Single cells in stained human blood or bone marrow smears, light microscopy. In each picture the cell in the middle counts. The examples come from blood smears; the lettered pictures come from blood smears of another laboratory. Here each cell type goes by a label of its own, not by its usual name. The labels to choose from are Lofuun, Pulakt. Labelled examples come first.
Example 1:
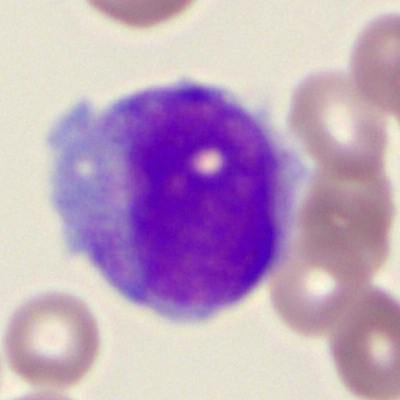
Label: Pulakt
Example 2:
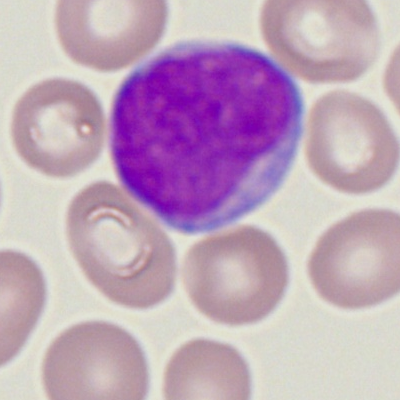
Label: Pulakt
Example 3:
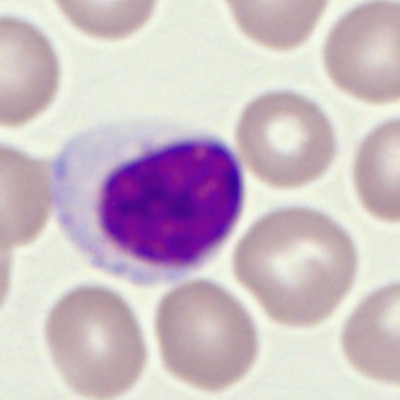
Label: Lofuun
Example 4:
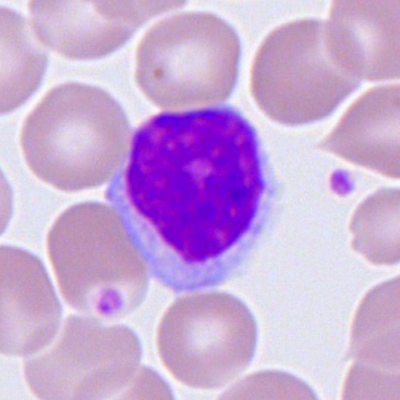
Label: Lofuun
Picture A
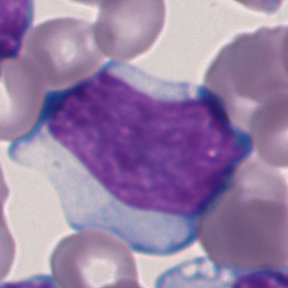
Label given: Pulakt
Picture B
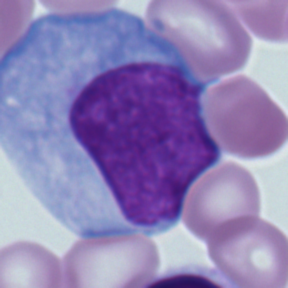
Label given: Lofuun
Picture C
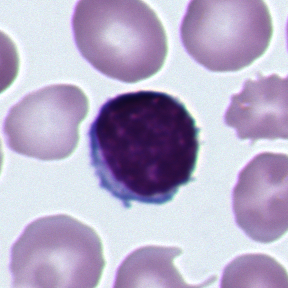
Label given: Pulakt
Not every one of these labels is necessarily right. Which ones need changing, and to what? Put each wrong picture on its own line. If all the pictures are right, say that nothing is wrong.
B: change Lofuun to Pulakt
C: change Pulakt to Lofuun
